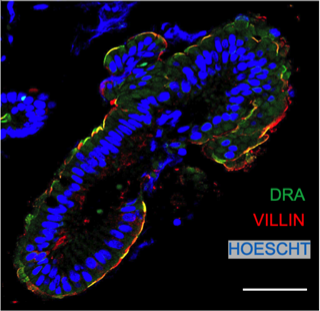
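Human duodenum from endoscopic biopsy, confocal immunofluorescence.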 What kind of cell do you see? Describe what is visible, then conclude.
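A single layer of tall columnar cells lines a finger-like projection. Elongated nuclei sit in a row within the columnar cells. A red line caps the luminal surface of the cells. The answer: enterocytes.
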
